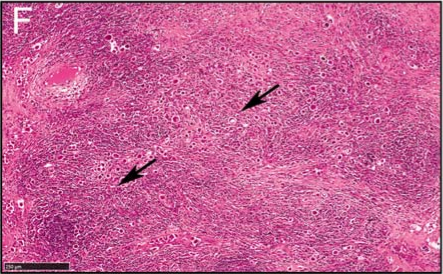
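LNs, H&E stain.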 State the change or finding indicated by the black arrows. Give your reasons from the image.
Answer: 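Diffuse pattern. Large pale cells are scattered throughout the lymphoid tissue without forming discrete nodules.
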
